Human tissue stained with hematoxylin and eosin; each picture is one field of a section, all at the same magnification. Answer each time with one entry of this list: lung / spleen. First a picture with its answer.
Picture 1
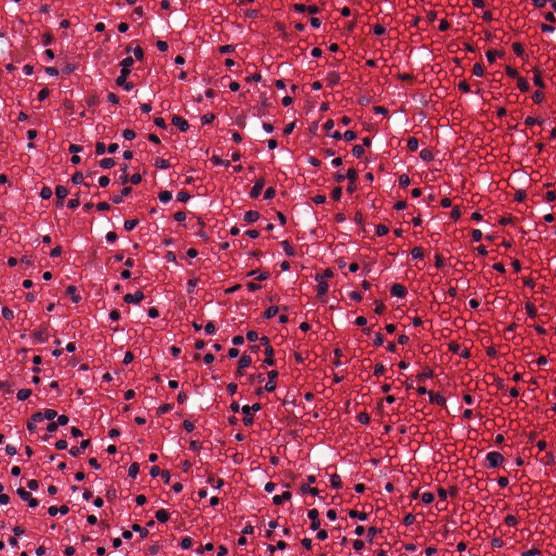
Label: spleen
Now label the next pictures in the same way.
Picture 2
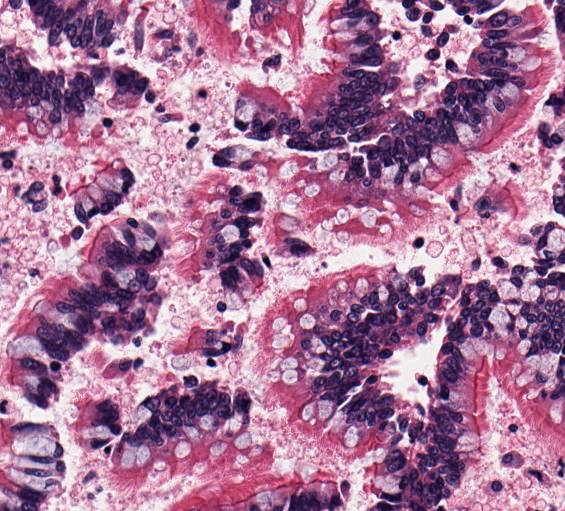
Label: lung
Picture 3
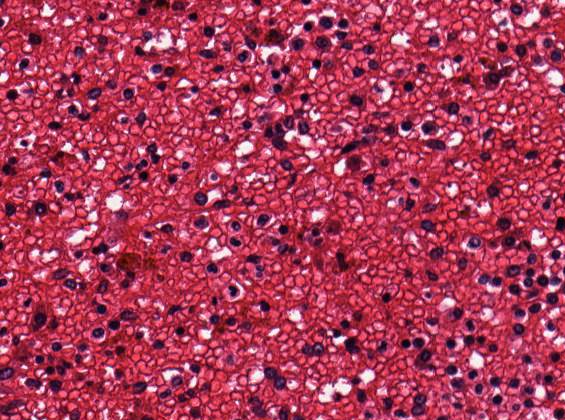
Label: spleen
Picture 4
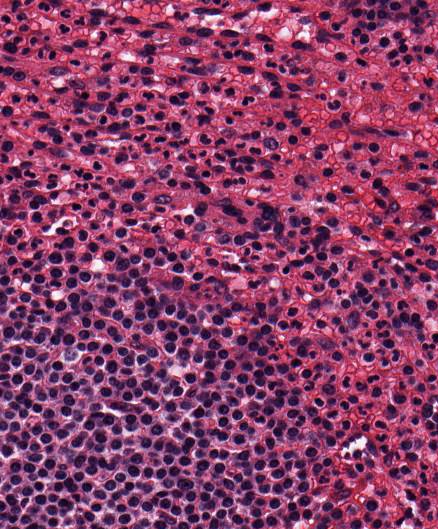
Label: spleen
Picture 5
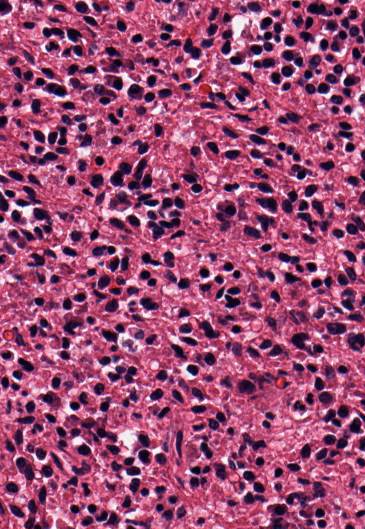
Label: spleen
